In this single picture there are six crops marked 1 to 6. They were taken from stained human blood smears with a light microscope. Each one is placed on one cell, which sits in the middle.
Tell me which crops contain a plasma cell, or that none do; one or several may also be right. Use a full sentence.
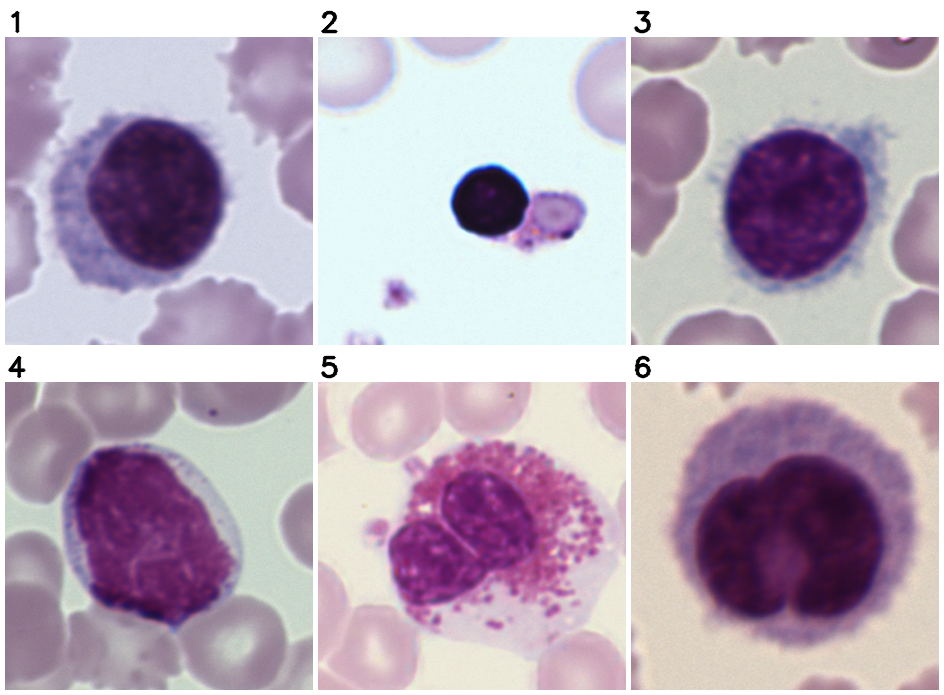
Among the central cells of the crops, none is a plasma cell.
